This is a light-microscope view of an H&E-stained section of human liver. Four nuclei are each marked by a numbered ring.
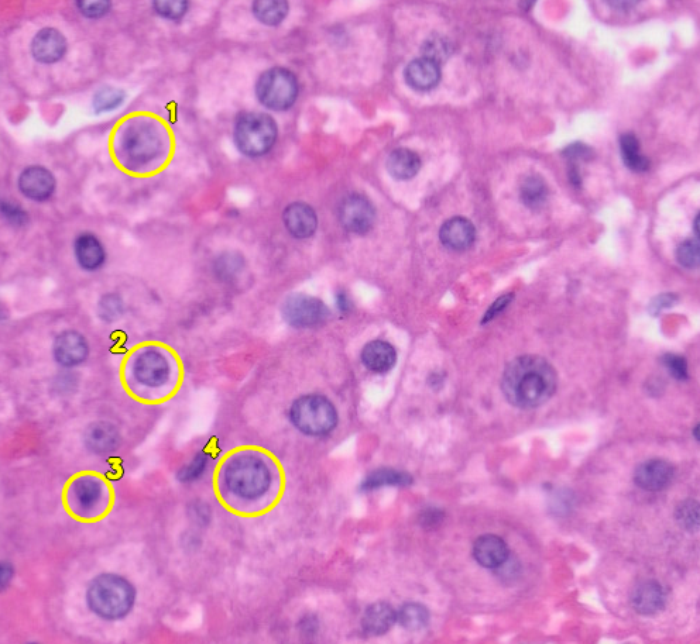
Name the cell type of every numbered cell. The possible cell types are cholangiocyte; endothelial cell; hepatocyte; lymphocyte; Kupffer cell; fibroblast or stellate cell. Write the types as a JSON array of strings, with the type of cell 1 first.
["hepatocyte", "hepatocyte", "fibroblast or stellate cell", "hepatocyte"]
